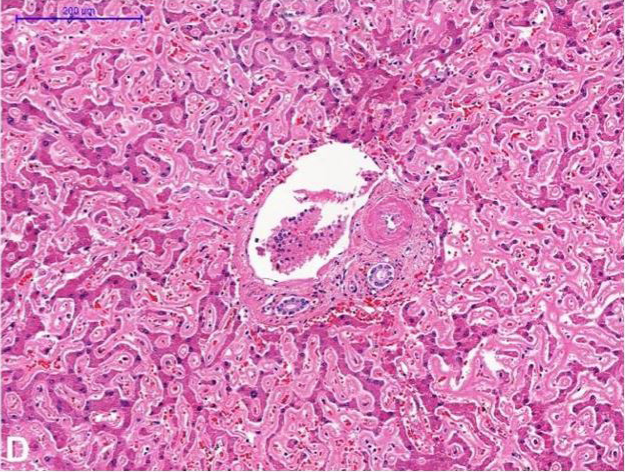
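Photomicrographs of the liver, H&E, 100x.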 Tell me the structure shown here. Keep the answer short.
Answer: Portal tract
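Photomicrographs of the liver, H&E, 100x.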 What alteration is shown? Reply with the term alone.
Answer: Arteriolar wall thickening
